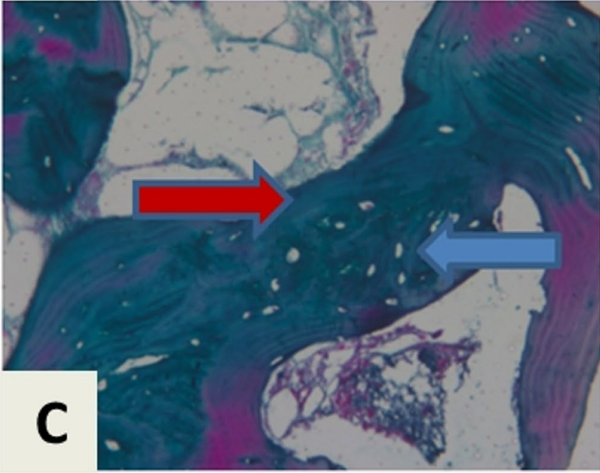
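This is bone tissue, with mature newly formed bone making up broad trabeculae stained blue-green. The matrix shows faint parallel lamellar lines running along the trabeculae. Between the trabeculae lie marrow spaces containing a delicate fibrous network and clear rounded fat spaces. Some parts of the bone edges at the margins stain magenta rather than blue-green.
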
